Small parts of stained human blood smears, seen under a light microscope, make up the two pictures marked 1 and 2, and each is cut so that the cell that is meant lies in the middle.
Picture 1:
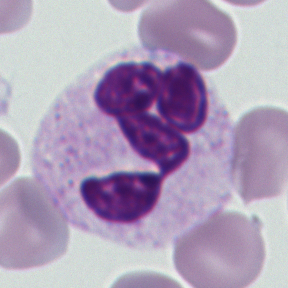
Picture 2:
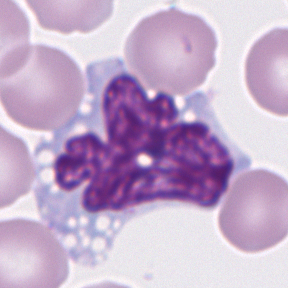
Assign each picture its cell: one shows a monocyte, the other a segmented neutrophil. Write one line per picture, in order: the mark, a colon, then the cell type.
1: segmented neutrophil
2: monocyte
